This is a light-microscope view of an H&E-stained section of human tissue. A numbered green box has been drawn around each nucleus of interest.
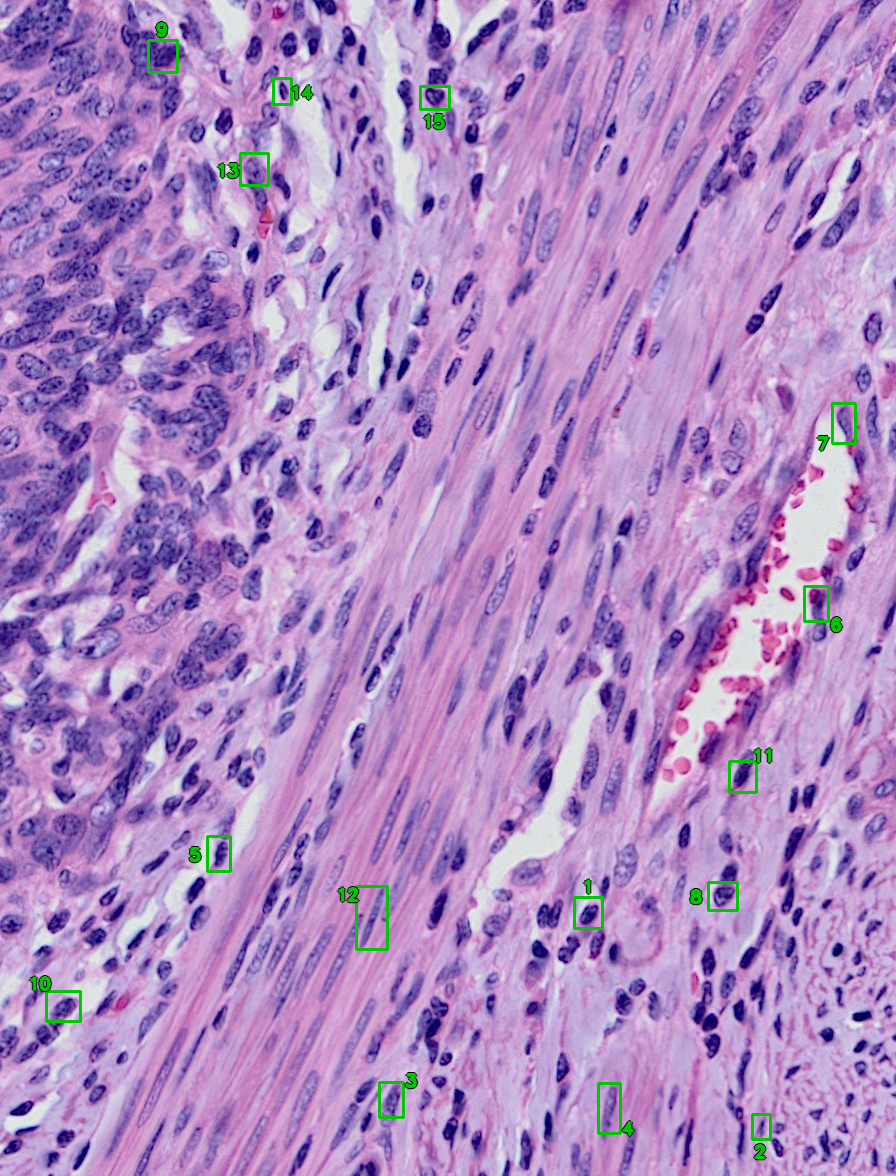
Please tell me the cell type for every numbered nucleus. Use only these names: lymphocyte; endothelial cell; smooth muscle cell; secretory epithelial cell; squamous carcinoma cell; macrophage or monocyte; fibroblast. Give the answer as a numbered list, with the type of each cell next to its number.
1. lymphocyte
2. fibroblast
3. fibroblast
4. smooth muscle cell
5. lymphocyte
6. endothelial cell
7. endothelial cell
8. lymphocyte
9. squamous carcinoma cell
10. lymphocyte
11. lymphocyte
12. smooth muscle cell
13. endothelial cell
14. lymphocyte
15. lymphocyte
